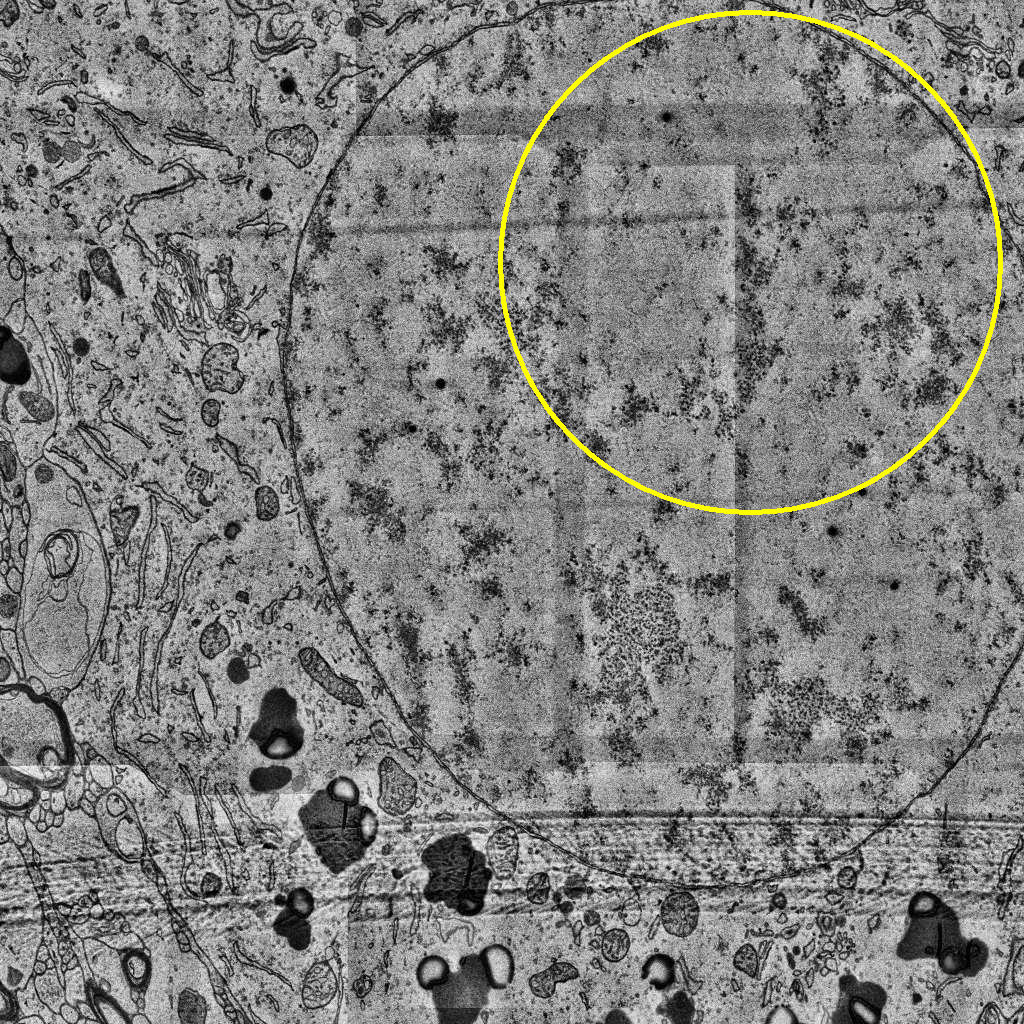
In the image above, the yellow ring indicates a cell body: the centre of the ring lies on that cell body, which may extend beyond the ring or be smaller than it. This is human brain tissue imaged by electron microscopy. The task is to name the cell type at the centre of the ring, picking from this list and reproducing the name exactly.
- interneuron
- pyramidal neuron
pyramidal neuron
